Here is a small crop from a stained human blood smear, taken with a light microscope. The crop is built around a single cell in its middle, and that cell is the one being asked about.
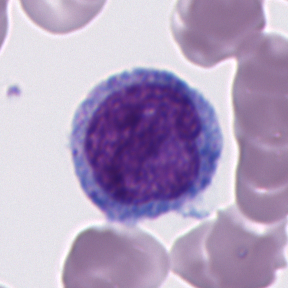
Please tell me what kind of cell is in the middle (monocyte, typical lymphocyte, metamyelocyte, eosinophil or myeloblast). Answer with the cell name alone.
monocyte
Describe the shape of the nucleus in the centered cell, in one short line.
Its nucleus is compact and single, with a round, oval or kidney-shaped form.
